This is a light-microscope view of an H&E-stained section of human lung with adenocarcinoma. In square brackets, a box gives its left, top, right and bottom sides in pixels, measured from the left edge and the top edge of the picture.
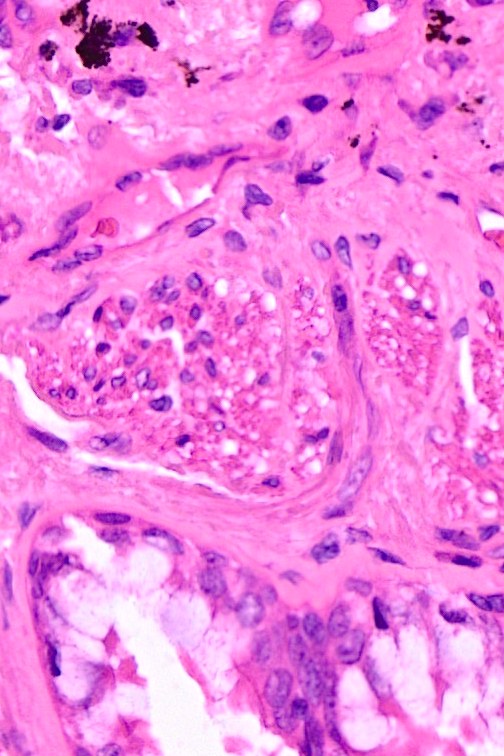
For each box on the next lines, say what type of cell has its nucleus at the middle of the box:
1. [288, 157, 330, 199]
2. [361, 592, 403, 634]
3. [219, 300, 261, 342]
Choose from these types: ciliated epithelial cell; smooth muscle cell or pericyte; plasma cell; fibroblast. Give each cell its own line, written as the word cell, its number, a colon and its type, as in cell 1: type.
cell 1: plasma cell
cell 2: ciliated epithelial cell
cell 3: smooth muscle cell or pericyte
